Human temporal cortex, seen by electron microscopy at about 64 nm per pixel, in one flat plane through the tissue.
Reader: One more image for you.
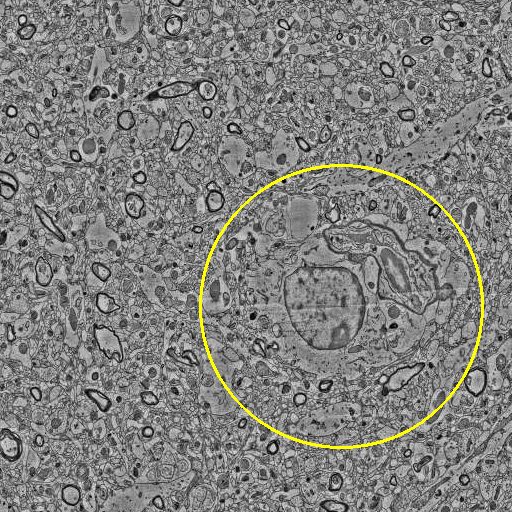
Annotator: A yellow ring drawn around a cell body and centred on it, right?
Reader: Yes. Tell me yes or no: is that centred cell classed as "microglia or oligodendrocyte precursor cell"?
yes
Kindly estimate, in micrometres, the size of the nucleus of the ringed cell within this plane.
The nucleus measures about 6 by 5 micrometres in this plane.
